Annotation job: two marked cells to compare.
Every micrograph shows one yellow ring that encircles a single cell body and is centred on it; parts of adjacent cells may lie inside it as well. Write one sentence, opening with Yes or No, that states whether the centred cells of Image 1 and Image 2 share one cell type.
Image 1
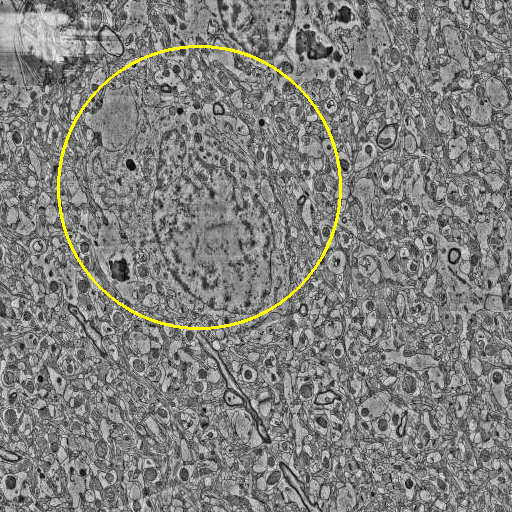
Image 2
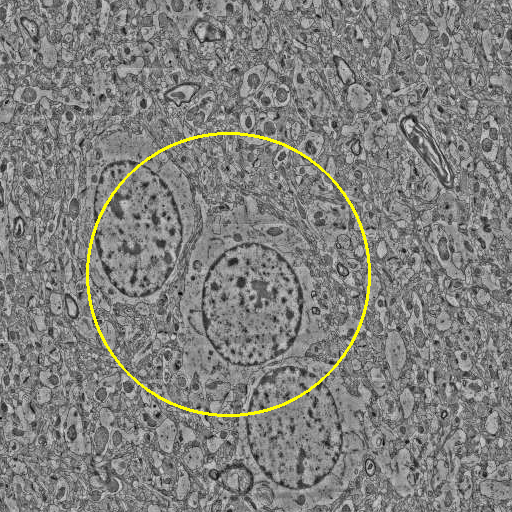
No, the cell centred in Image 1 and the cell centred in Image 2 are of two types.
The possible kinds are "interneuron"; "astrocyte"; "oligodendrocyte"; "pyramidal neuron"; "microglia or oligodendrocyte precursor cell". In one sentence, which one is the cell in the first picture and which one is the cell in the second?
The cell ringed in the second picture is an astrocyte, whereas the one ringed in the first is an interneuron.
